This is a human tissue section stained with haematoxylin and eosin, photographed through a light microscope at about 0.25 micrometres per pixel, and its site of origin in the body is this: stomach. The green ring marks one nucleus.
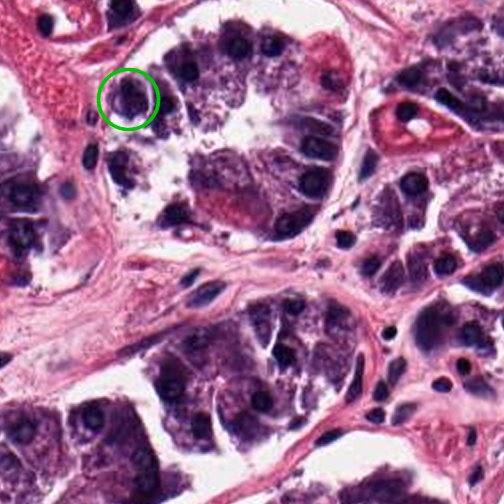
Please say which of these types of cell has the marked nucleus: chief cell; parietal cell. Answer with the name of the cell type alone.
chief cell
